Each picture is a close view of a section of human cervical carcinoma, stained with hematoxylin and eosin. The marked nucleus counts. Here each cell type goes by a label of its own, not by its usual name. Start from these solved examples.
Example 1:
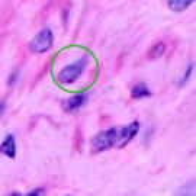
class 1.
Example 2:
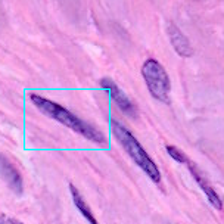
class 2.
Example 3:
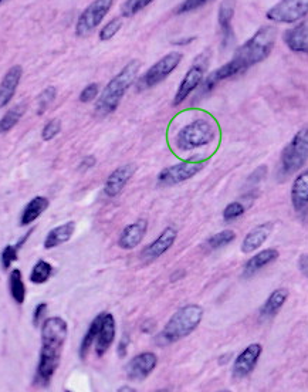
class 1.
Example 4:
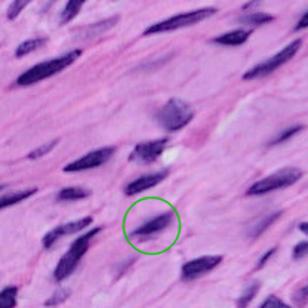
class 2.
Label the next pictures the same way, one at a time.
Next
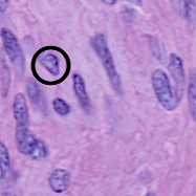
class 1.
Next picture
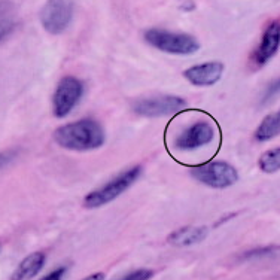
class 2.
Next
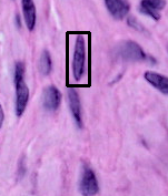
class 2.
